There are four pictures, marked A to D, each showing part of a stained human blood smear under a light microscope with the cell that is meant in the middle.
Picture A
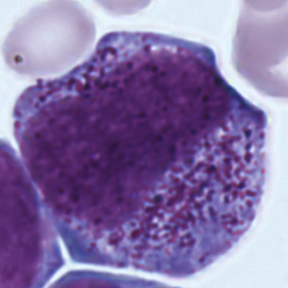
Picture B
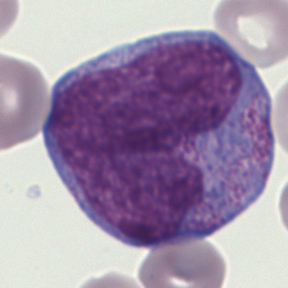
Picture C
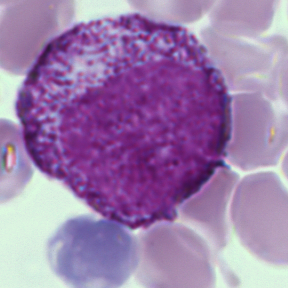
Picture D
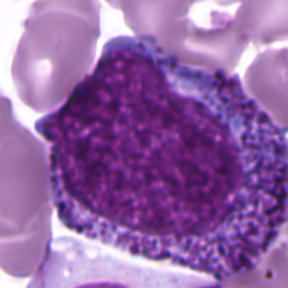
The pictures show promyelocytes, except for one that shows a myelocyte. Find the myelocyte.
C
